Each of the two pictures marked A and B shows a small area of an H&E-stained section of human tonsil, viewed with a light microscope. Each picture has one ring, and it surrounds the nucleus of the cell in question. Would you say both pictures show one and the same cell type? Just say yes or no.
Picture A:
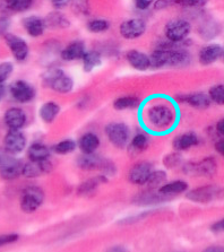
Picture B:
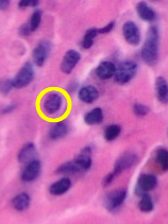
no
